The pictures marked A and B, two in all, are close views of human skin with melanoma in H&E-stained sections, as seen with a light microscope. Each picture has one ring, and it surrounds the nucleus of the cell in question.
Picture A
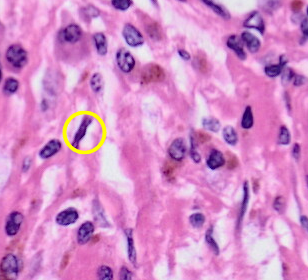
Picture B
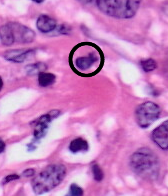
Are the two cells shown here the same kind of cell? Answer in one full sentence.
No, the types are not the same, since picture A shows a “fibroblast or myofibroblast” and picture B a lymphocyte.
